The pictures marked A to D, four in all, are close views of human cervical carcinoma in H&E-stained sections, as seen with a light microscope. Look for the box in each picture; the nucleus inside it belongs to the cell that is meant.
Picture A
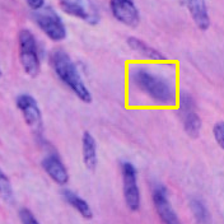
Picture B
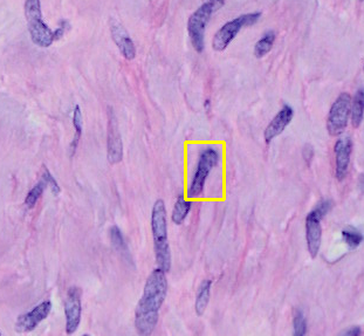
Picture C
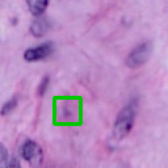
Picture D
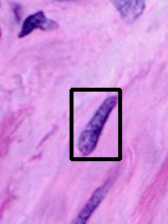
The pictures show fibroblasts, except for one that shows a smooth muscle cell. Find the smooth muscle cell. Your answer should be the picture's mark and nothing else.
C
